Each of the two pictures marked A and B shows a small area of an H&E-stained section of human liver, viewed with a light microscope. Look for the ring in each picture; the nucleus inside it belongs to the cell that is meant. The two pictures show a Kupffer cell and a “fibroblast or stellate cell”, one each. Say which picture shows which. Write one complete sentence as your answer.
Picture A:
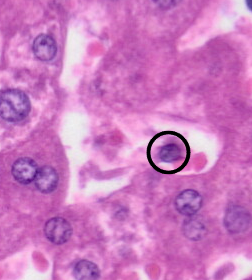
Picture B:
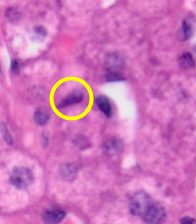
Picture A shows a Kupffer cell and picture B shows a “fibroblast or stellate cell”.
